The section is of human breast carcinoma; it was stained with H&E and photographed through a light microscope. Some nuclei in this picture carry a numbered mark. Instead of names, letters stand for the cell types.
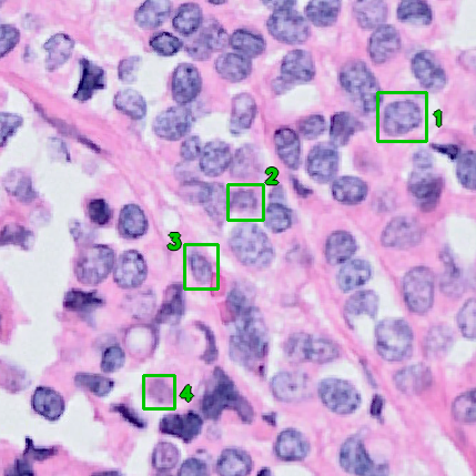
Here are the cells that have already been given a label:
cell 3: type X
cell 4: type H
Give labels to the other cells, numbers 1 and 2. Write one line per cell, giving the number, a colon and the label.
1: type H
2: type H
